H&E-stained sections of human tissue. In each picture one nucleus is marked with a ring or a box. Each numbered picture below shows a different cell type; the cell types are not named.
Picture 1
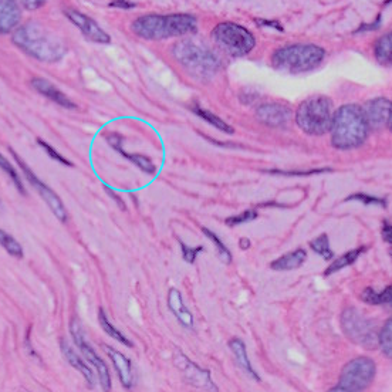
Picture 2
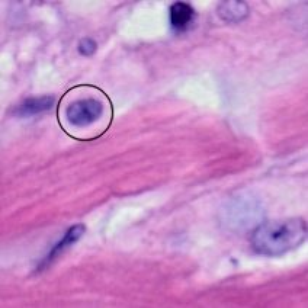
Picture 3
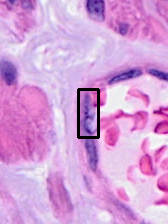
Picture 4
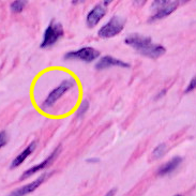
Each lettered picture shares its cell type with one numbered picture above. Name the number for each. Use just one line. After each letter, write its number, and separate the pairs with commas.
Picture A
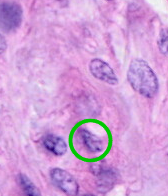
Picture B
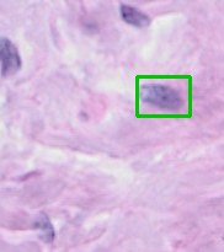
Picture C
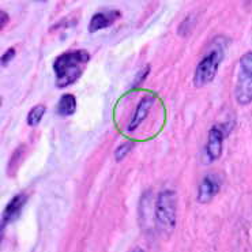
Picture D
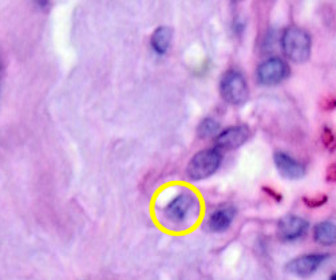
A 3, B 1, C 4, D 3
